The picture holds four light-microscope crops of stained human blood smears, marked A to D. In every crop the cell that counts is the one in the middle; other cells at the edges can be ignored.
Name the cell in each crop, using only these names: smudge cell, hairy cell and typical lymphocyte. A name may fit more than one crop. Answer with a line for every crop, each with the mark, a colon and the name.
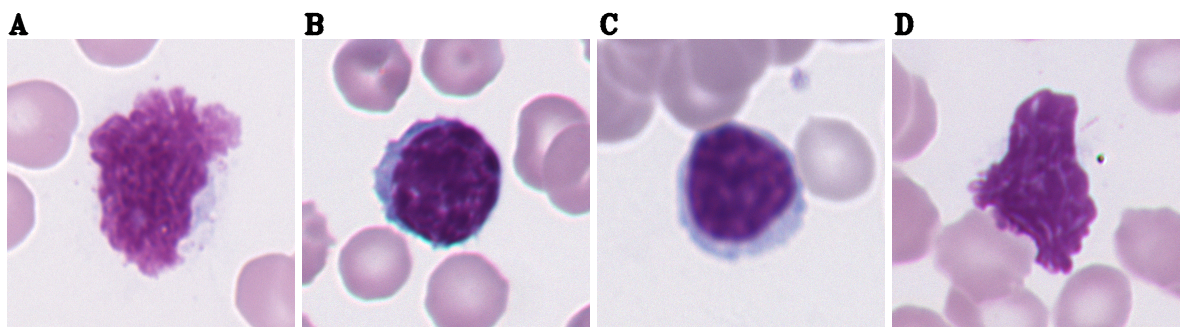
A: smudge cell
B: typical lymphocyte
C: typical lymphocyte
D: smudge cell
